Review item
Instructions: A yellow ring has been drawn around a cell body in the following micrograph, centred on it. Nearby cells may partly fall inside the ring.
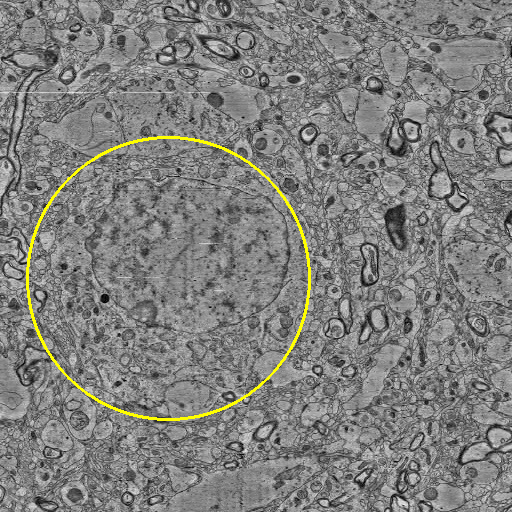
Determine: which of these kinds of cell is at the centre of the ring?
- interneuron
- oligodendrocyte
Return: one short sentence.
The cell body in the middle of the ring is that of an interneuron.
